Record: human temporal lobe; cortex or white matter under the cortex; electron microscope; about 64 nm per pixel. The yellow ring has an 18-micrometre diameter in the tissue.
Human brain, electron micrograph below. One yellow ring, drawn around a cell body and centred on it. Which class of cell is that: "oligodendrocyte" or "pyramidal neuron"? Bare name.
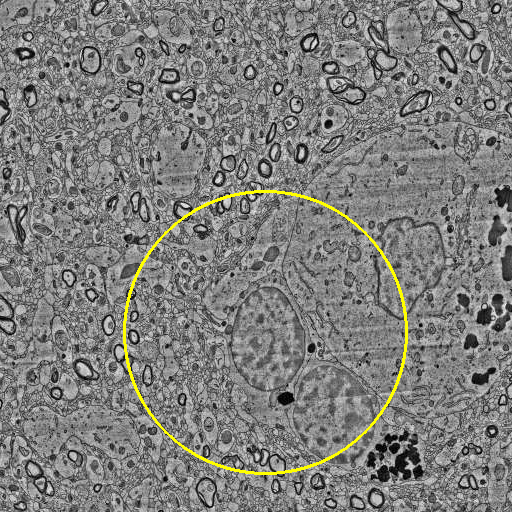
oligodendrocyte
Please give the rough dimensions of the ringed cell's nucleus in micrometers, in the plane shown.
Approximately 7 x 5 micrometres in this plane.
